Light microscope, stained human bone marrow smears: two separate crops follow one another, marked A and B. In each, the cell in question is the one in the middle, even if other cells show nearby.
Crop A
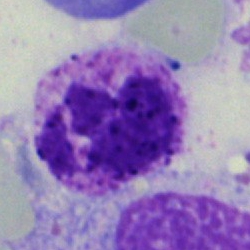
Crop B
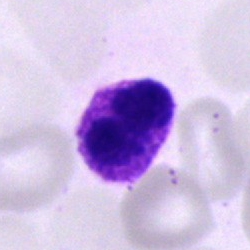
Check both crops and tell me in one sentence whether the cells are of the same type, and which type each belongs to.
Yes, the cells centred in the two crops are both basophils.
